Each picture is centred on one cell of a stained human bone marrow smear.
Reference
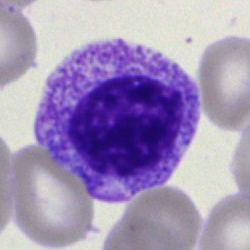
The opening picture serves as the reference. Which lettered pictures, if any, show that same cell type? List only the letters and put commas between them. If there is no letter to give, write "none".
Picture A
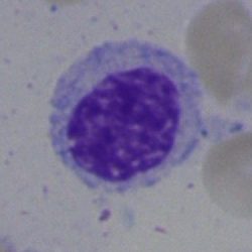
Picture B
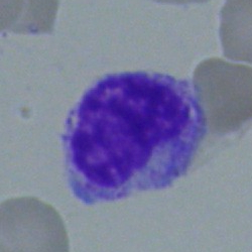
A, B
